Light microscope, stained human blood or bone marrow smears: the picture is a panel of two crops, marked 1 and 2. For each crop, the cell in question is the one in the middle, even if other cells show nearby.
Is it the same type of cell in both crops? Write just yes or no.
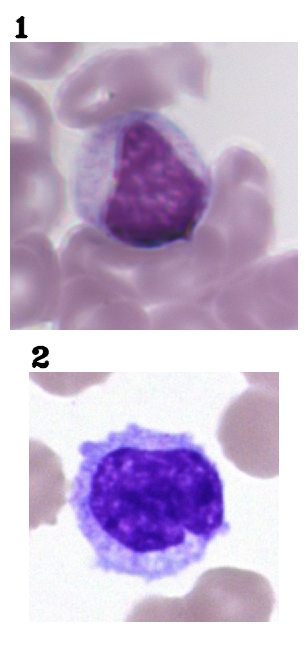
no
